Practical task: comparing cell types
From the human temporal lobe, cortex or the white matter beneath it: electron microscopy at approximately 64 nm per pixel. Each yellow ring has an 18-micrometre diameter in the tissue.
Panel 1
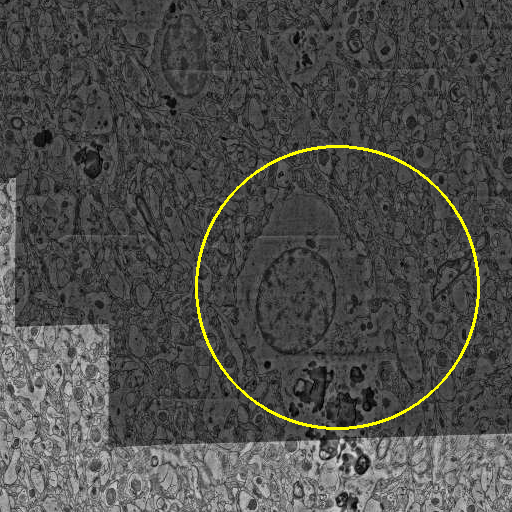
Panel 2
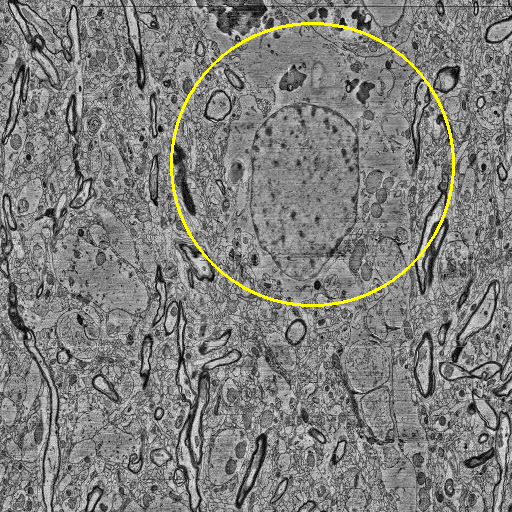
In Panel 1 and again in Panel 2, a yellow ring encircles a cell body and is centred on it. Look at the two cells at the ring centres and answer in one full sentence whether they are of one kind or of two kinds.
The two cells sitting at the ring centres of Panels 1 and 2 are of one kind.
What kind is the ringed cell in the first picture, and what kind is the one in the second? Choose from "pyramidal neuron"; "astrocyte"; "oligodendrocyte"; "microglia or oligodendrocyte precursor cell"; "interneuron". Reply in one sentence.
Each of the ringed cells, first and second, is an astrocyte.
